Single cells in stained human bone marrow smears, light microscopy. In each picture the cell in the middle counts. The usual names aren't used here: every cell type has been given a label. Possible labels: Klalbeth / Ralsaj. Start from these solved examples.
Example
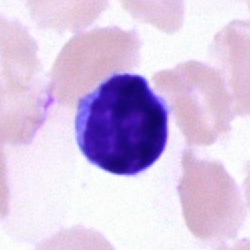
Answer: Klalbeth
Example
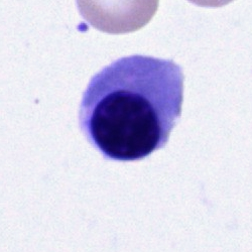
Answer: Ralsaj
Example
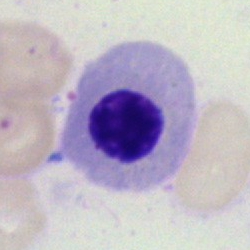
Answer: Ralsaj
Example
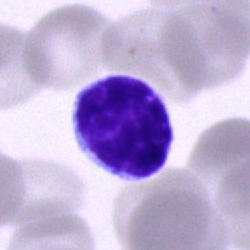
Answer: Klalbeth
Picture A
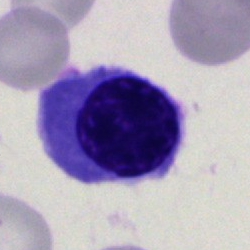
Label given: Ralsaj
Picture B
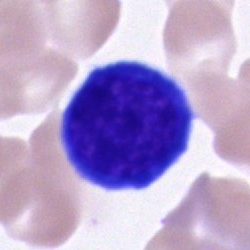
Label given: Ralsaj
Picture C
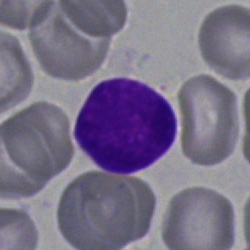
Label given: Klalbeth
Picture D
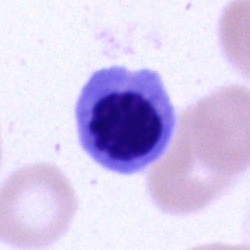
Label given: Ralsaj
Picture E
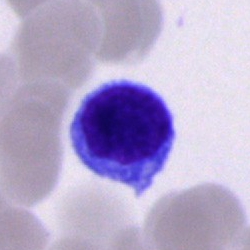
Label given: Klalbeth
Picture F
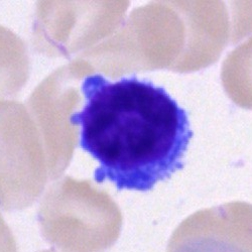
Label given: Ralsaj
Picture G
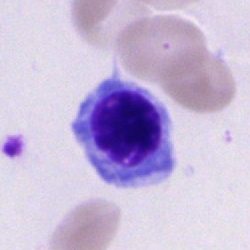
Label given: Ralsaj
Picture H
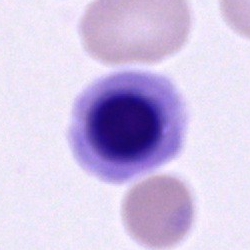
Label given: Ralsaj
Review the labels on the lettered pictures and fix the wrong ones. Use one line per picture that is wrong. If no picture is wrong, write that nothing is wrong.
F is labelled Ralsaj; correct label: Klalbeth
